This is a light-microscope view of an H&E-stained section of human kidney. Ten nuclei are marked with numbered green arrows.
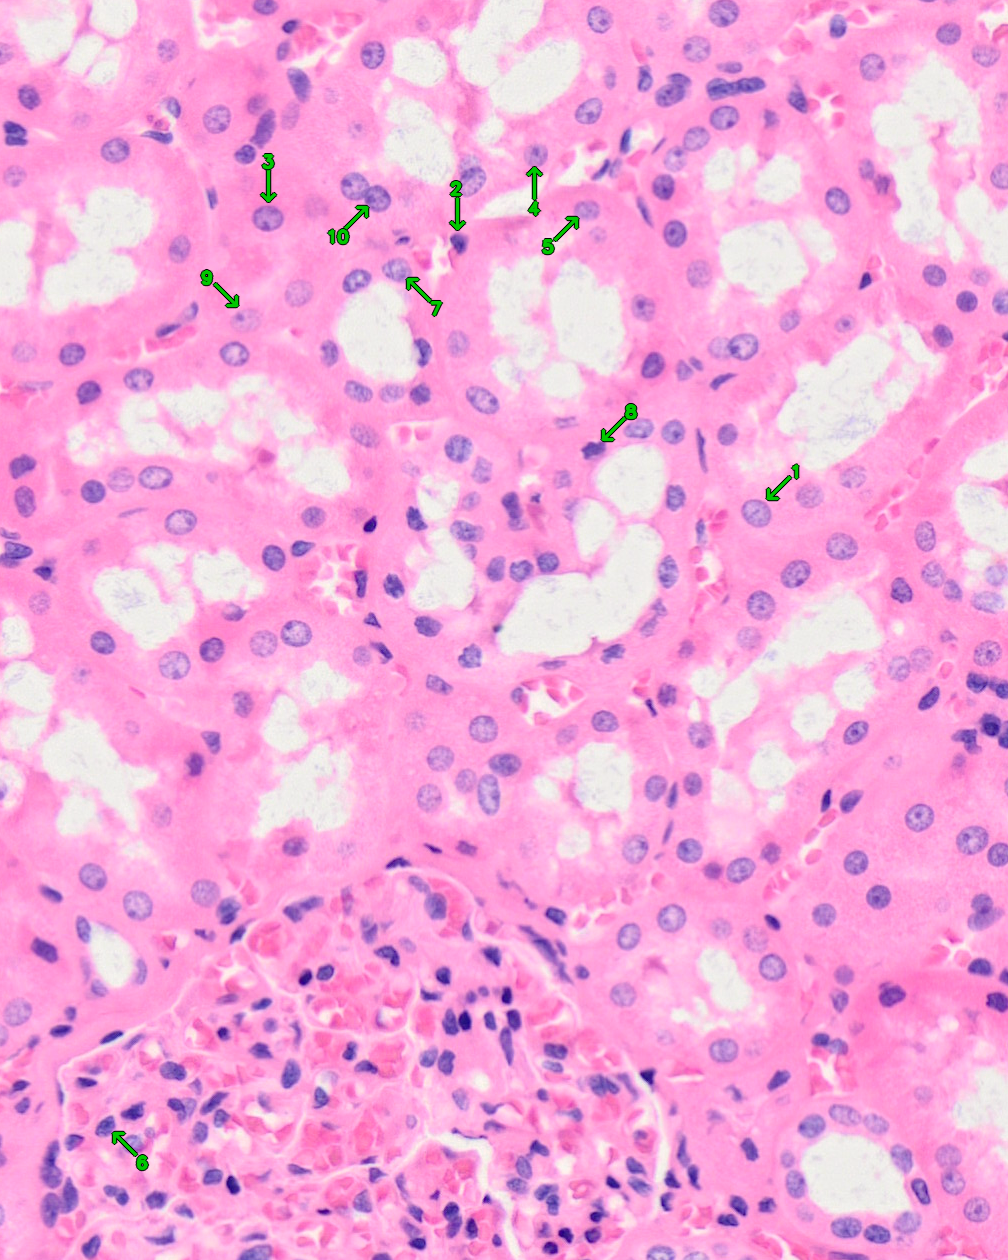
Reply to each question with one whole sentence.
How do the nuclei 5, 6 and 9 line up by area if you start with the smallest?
Smallest first, the nuclei run 6, 5, 9.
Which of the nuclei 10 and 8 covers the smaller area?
Nucleus 8 covers less area, with nucleus 10 about 1.5 times as large.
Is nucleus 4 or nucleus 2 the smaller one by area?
Nucleus 2 is the smaller one; nucleus 4 covers about 2 times its area.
